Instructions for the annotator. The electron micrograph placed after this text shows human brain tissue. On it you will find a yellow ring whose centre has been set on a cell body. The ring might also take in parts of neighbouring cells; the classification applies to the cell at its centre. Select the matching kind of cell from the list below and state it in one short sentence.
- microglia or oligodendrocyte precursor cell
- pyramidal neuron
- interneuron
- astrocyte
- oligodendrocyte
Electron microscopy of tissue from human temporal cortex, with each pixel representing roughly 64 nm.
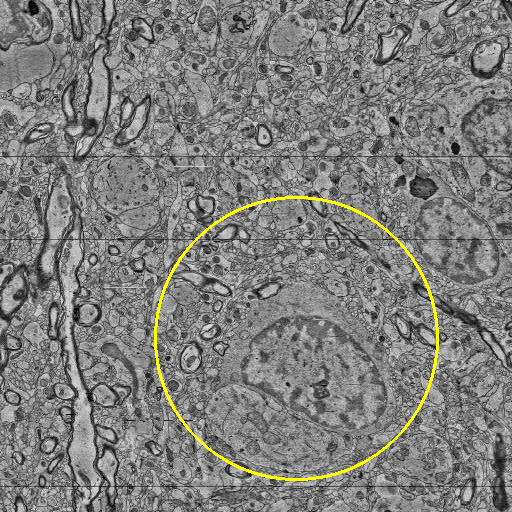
The ring is drawn on the cell body of an oligodendrocyte.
